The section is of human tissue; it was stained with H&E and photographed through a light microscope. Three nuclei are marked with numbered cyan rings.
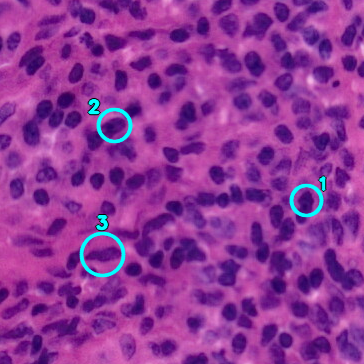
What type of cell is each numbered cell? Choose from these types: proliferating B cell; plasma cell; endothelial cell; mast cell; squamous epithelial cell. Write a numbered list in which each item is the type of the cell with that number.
1. plasma cell
2. plasma cell
3. squamous epithelial cell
